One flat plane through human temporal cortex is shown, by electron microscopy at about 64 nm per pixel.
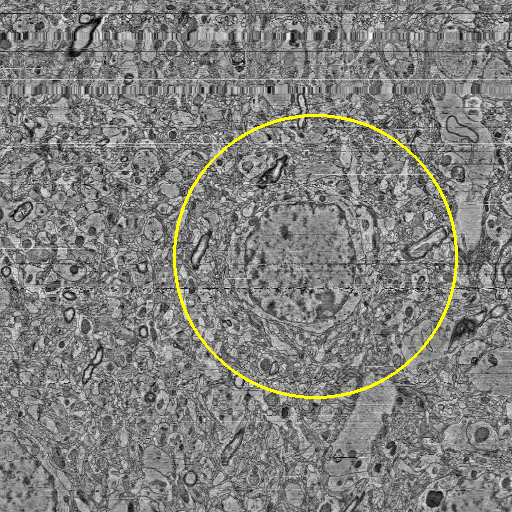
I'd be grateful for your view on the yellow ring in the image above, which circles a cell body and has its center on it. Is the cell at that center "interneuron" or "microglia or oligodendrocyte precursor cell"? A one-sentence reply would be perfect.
The cell at the center of the yellow ring is an interneuron.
